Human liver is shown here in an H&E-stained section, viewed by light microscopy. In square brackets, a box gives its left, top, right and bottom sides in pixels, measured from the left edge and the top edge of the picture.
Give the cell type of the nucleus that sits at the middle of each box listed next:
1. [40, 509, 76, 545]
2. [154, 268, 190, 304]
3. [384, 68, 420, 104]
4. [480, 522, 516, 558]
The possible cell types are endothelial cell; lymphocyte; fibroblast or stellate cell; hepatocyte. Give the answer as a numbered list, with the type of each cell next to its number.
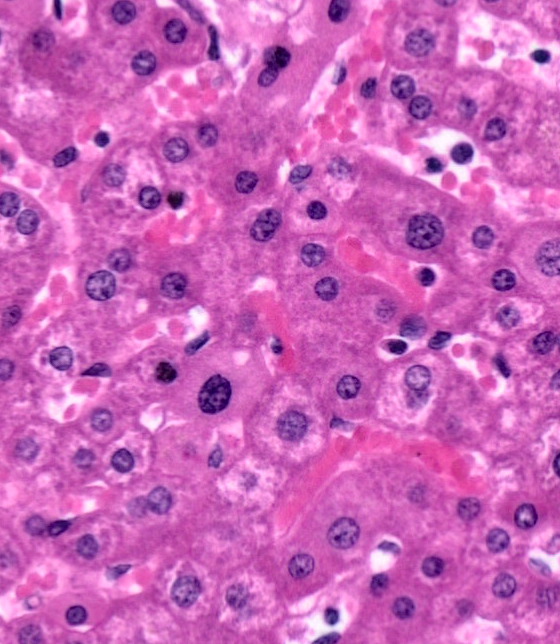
1. fibroblast or stellate cell
2. hepatocyte
3. hepatocyte
4. hepatocyte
